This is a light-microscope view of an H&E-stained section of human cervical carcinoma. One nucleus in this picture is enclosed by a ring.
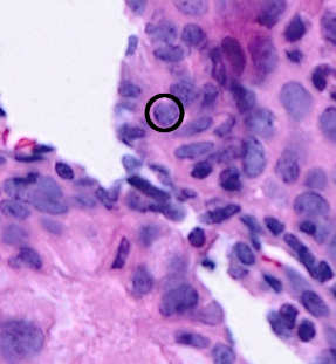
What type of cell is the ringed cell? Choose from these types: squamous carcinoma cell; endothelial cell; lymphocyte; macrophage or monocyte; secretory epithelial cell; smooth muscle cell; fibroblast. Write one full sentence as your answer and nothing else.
In this field of tissue, the ringed cell is a secretory epithelial cell.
